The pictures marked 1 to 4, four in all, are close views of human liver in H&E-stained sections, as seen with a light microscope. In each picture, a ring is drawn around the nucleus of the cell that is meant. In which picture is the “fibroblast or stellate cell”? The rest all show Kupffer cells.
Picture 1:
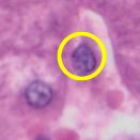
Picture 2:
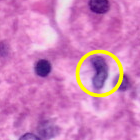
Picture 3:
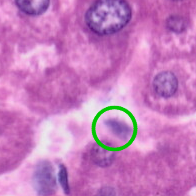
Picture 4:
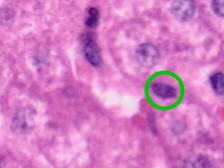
4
